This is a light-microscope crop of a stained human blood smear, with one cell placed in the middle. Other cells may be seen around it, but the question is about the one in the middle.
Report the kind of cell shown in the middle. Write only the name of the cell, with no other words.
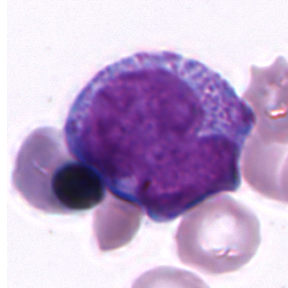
promyelocyte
